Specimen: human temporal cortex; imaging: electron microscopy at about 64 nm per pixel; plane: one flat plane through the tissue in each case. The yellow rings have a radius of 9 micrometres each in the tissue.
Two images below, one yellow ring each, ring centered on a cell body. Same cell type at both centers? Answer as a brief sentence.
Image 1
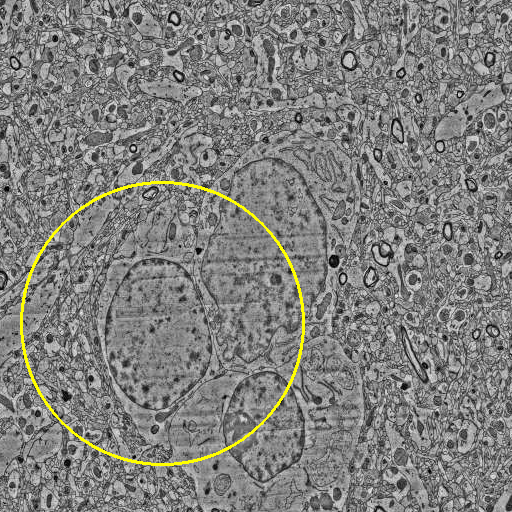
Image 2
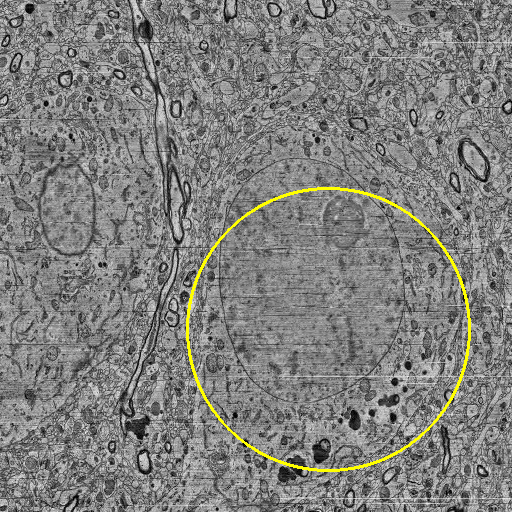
No, the cells are of two separate types.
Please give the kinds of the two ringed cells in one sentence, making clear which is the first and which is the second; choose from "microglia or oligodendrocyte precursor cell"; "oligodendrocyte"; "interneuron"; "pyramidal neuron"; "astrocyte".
In the second picture the ringed cell is a pyramidal neuron; in the first it is an astrocyte.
